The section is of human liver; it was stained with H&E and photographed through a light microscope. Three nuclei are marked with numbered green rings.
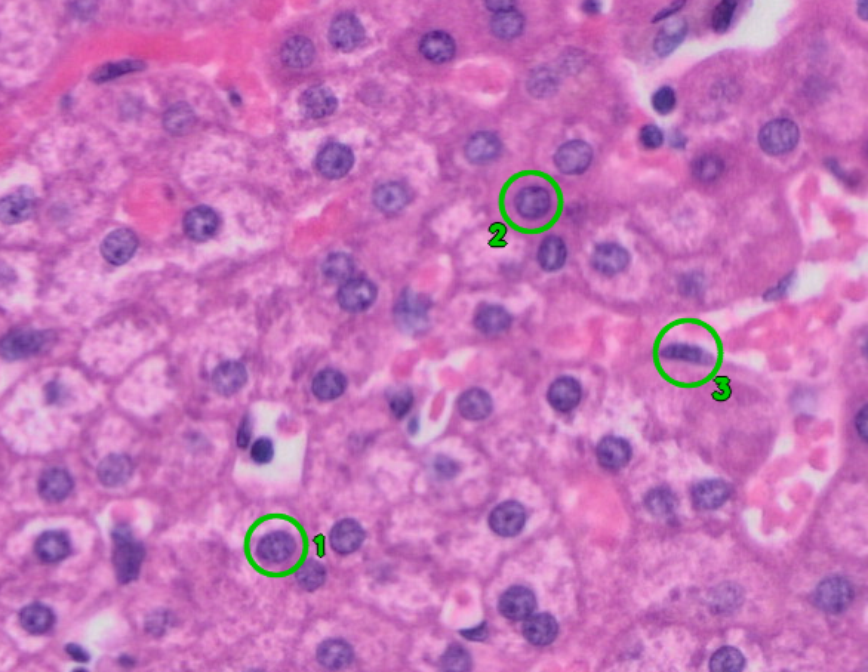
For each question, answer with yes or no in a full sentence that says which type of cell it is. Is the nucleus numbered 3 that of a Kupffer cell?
Yes, the cell corresponding to number 3 is a Kupffer cell.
